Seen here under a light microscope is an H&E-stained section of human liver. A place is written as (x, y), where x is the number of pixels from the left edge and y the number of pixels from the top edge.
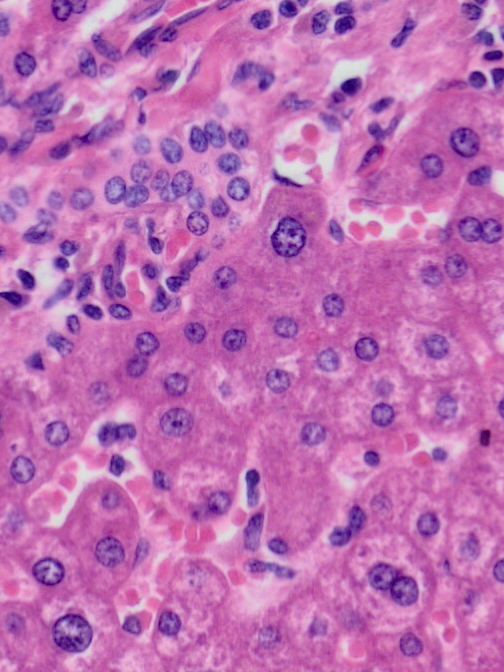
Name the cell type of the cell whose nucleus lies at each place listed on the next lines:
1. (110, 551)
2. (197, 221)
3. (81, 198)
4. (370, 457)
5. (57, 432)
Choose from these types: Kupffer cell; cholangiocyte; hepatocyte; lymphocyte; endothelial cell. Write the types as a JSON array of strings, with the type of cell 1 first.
["hepatocyte", "cholangiocyte", "cholangiocyte", "lymphocyte", "hepatocyte"]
